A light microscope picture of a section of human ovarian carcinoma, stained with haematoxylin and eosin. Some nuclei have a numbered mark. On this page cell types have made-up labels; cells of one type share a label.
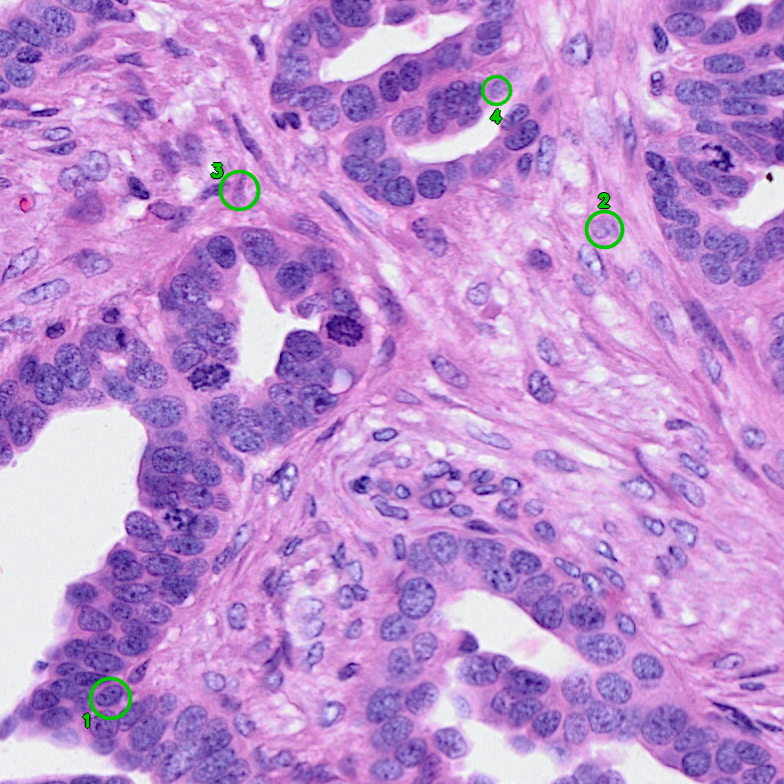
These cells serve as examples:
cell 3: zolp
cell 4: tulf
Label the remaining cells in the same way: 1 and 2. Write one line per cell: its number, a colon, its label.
1: tulf
2: zolp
